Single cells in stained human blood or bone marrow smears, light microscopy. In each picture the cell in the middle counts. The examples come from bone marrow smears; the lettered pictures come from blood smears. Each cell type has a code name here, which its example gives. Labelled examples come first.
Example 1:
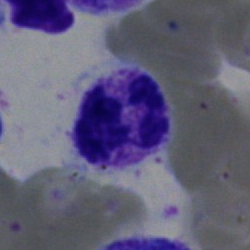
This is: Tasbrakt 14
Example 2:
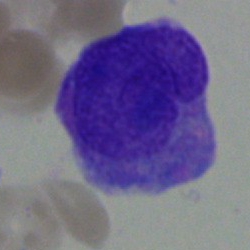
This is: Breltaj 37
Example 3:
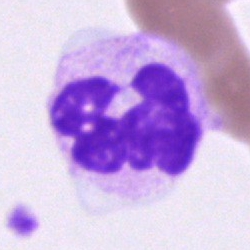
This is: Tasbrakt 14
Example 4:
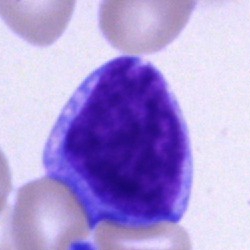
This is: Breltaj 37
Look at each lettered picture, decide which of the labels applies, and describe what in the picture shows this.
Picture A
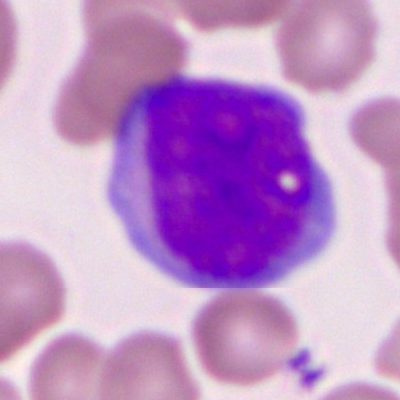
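Breltaj 37. Evidence: The nucleus fills most of the cell.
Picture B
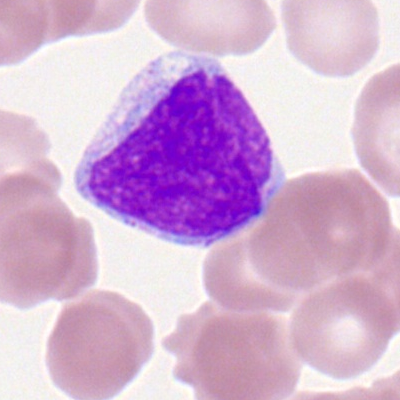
Breltaj 37. Evidence: The nucleus fills most of the cell.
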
